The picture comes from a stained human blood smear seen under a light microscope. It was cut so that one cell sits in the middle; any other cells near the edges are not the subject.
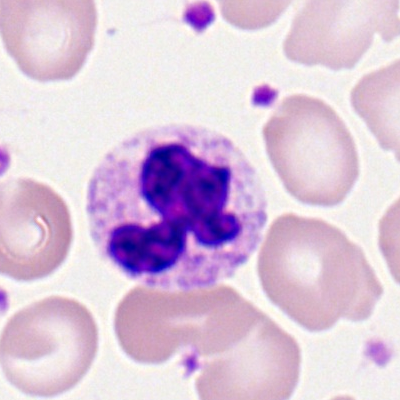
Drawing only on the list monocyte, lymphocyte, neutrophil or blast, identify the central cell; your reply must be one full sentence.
The center cell of this crop is a neutrophil.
